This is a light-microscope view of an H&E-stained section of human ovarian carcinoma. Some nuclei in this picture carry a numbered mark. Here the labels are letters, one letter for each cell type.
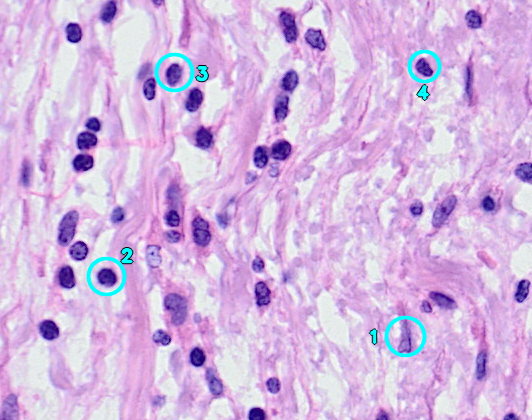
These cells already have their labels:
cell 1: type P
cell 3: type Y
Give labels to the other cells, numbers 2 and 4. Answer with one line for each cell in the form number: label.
2: type Y
4: type Y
